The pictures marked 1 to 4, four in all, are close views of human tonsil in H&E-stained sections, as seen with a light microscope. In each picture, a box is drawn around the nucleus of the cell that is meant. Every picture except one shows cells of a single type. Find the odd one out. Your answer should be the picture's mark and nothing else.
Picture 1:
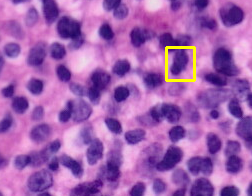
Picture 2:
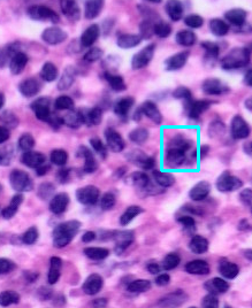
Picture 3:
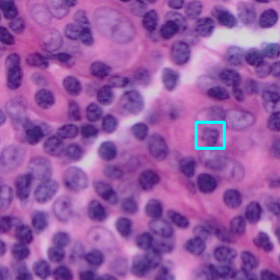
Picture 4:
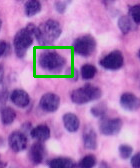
3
